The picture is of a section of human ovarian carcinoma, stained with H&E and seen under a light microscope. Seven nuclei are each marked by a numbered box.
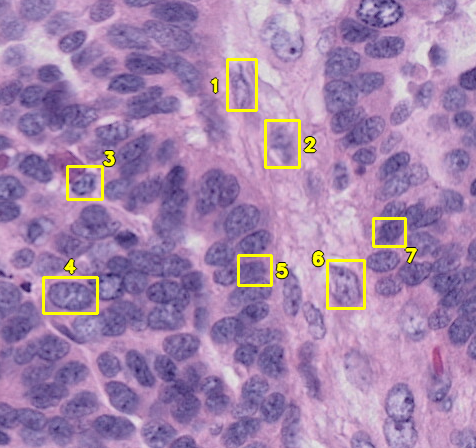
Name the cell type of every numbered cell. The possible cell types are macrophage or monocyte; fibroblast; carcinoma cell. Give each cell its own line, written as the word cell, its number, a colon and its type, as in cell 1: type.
cell 1: fibroblast
cell 2: fibroblast
cell 3: macrophage or monocyte
cell 4: carcinoma cell
cell 5: carcinoma cell
cell 6: fibroblast
cell 7: carcinoma cell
